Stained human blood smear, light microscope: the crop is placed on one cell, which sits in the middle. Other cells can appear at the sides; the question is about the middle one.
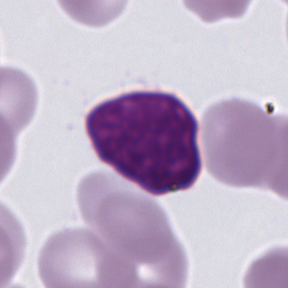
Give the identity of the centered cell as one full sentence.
The cell nearest the centre of this crop is a smudge cell.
